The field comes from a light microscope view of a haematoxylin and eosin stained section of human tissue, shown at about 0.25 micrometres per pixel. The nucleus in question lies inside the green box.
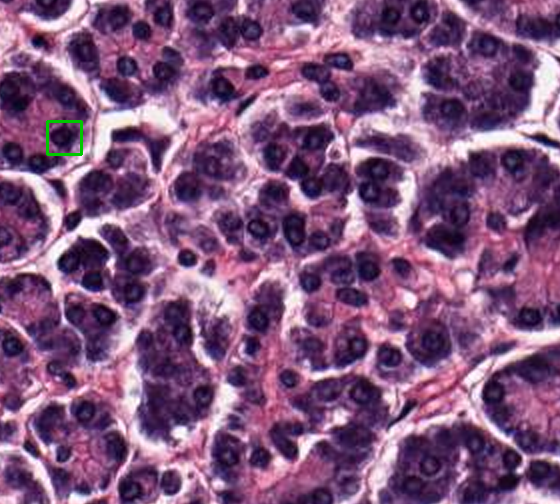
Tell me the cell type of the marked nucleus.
pancreatic acinar cell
